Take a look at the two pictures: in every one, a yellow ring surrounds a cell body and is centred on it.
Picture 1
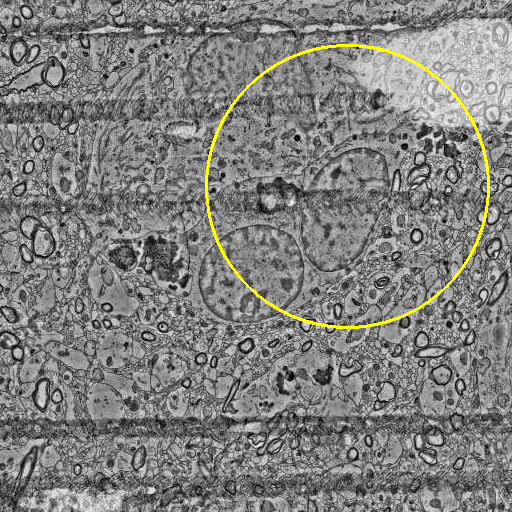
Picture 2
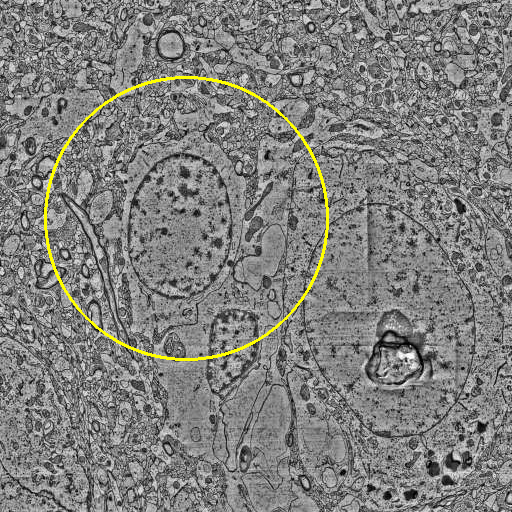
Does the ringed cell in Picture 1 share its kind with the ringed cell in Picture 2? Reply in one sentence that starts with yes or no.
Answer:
No, the two centred cells, one per picture, are of two kinds.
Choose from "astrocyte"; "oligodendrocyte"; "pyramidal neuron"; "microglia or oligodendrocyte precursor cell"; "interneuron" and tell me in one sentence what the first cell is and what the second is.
What the first ring is centred on is an oligodendrocyte; what the second ring is centred on is an astrocyte.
